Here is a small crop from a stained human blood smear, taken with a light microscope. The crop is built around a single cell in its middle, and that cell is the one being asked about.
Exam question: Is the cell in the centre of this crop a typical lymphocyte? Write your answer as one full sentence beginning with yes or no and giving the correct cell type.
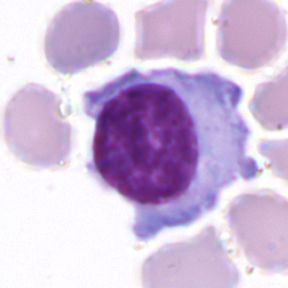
No, the cell sitting in the middle is a plasma cell, and it is not a typical lymphocyte.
